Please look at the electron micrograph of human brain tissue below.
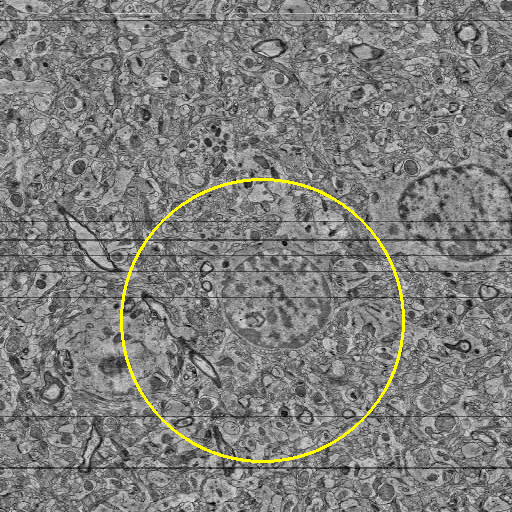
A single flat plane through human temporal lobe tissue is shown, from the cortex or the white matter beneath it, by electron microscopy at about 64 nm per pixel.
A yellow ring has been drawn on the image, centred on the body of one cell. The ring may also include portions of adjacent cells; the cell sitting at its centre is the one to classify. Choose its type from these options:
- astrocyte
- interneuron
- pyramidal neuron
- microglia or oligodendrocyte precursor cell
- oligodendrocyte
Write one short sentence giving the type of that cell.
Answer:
The cell in the middle of the ring is an oligodendrocyte.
